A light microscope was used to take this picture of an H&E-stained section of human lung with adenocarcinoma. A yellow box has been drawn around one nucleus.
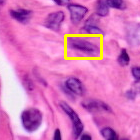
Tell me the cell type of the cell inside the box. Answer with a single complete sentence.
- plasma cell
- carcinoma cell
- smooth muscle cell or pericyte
Just put down that the cell inside the box is a plasma cell.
